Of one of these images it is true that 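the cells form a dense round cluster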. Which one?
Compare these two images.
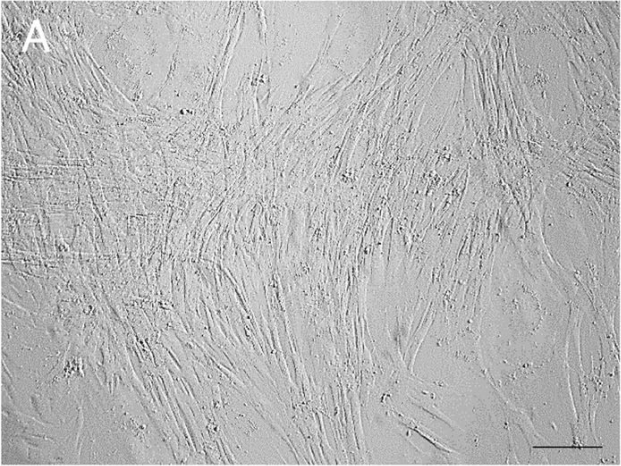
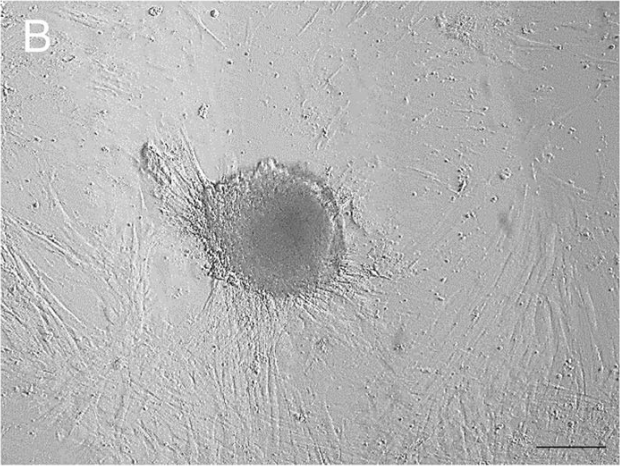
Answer: The second image.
